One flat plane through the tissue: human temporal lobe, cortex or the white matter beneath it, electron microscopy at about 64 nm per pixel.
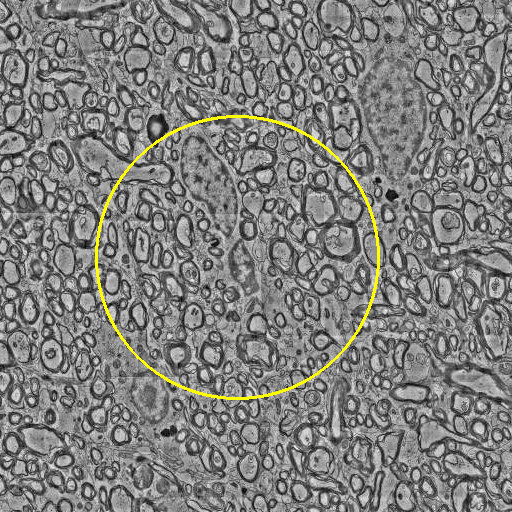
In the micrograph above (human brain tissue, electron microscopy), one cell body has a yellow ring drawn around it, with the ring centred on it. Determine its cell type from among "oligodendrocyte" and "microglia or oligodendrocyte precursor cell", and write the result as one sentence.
The cell whose body is ringed is a microglial cell or oligodendrocyte precursor cell.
